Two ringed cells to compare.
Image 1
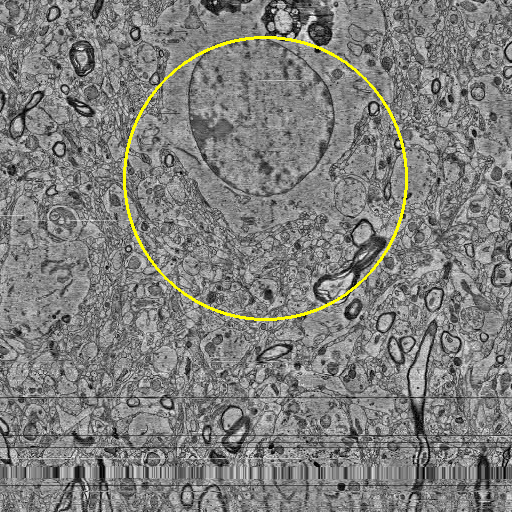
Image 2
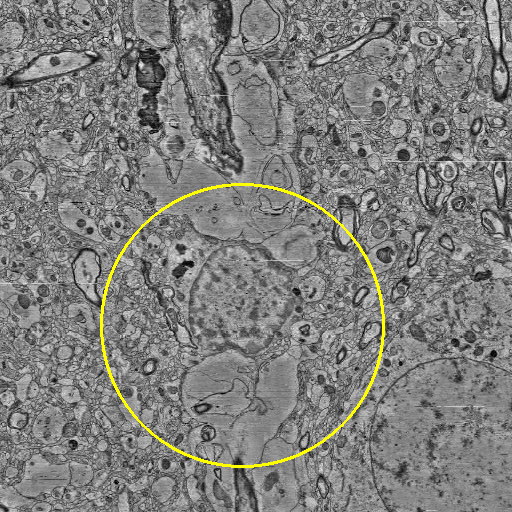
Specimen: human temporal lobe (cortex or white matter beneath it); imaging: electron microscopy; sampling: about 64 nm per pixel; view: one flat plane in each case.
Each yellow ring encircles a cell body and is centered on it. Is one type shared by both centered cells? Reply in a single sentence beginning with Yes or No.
No, two types are found among the cells at the centers of the rings.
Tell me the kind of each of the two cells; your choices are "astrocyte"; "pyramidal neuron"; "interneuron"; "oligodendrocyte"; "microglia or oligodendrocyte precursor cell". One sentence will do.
The ringed cell is an astrocyte in the first picture and an oligodendrocyte in the second picture.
